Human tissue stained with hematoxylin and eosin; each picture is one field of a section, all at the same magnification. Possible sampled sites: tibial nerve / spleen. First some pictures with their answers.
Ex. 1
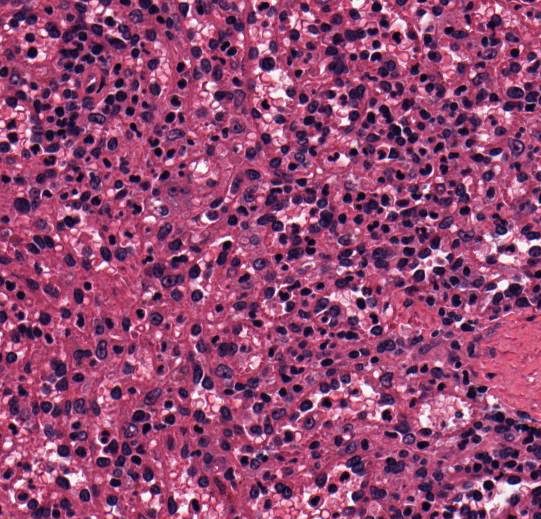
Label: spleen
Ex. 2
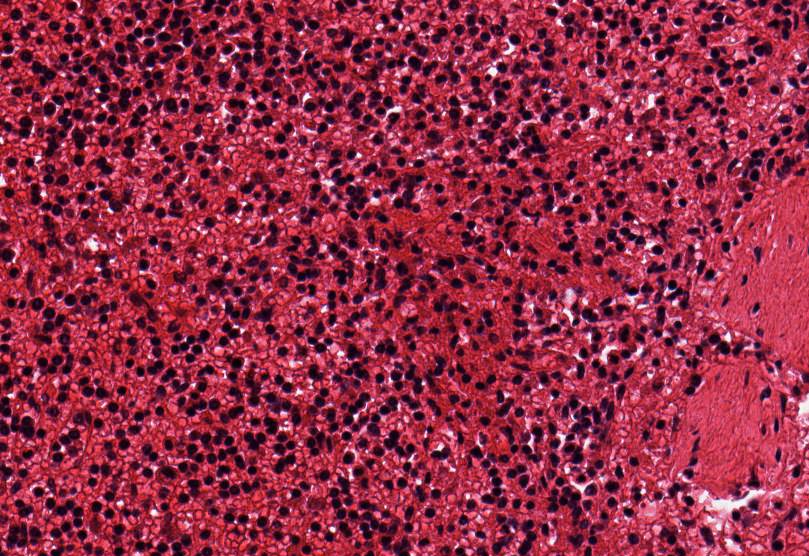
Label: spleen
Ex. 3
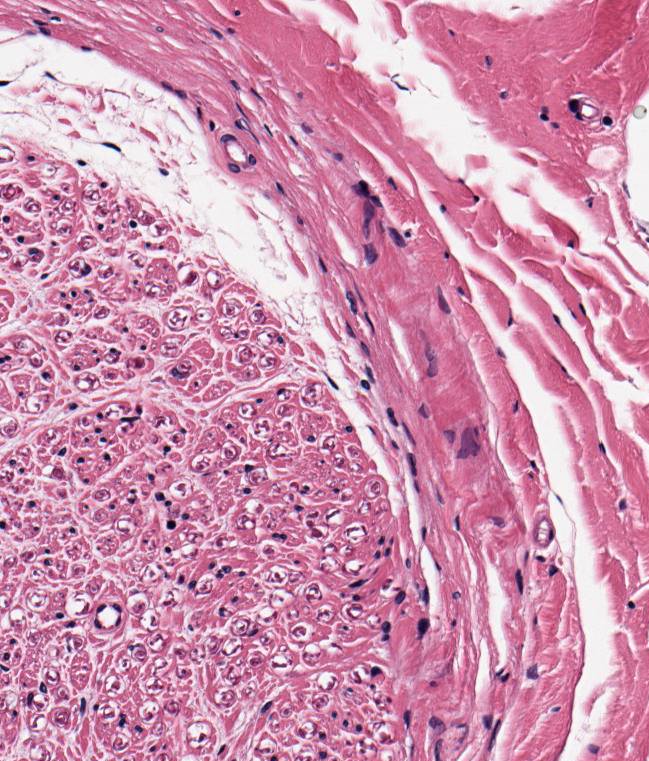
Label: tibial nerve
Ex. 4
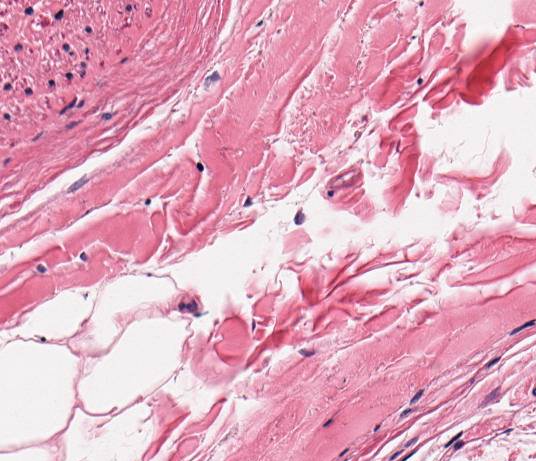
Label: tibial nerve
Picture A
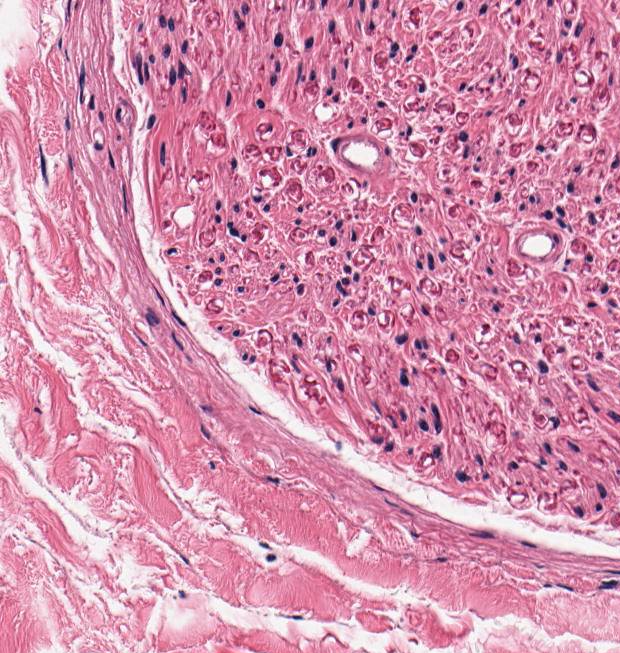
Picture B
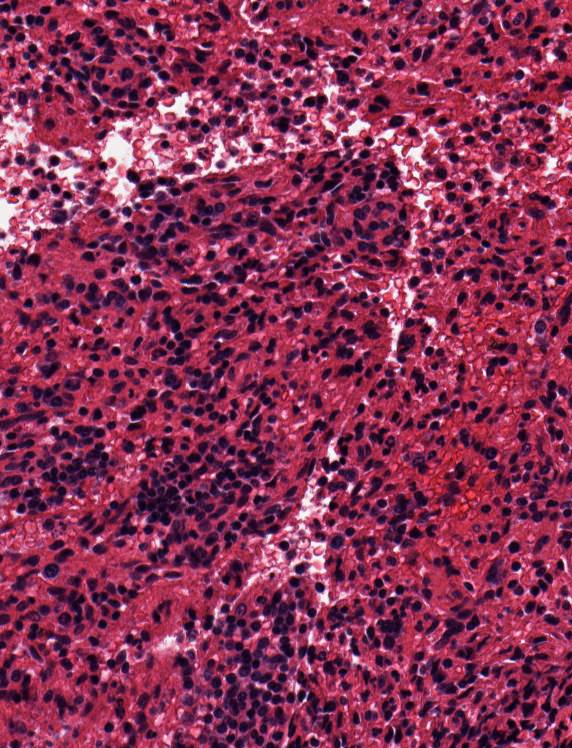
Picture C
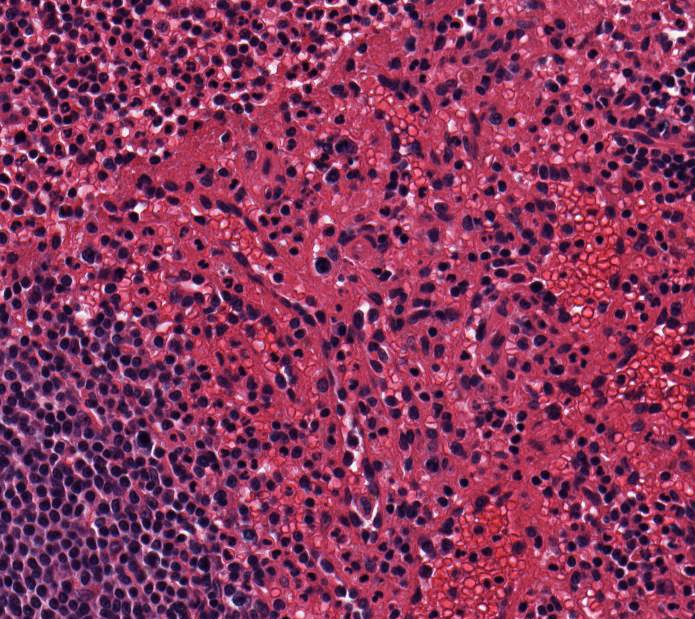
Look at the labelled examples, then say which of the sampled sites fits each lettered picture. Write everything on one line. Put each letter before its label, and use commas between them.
A tibial nerve, B spleen, C spleen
